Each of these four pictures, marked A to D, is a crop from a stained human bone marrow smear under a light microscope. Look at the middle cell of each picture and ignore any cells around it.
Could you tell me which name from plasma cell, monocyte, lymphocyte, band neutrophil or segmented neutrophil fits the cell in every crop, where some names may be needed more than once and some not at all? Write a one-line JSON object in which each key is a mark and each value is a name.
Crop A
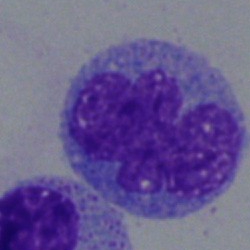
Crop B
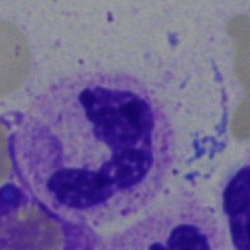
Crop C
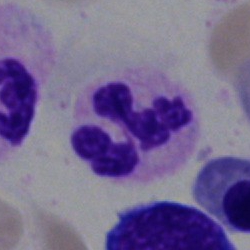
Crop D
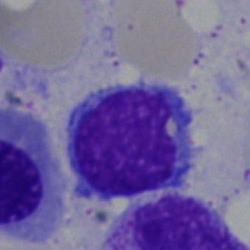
{"A": "monocyte", "B": "segmented neutrophil", "C": "segmented neutrophil", "D": "lymphocyte"}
